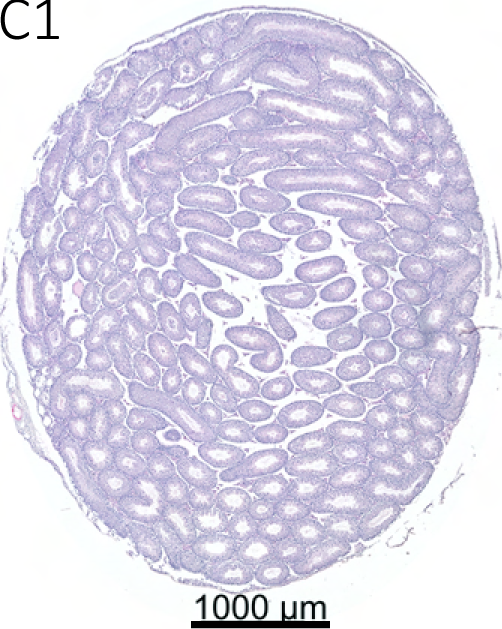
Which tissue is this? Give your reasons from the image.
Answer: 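Testes. An oval cross section densely packed with round and elongated tubule profiles. A thin capsule surrounds the section.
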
